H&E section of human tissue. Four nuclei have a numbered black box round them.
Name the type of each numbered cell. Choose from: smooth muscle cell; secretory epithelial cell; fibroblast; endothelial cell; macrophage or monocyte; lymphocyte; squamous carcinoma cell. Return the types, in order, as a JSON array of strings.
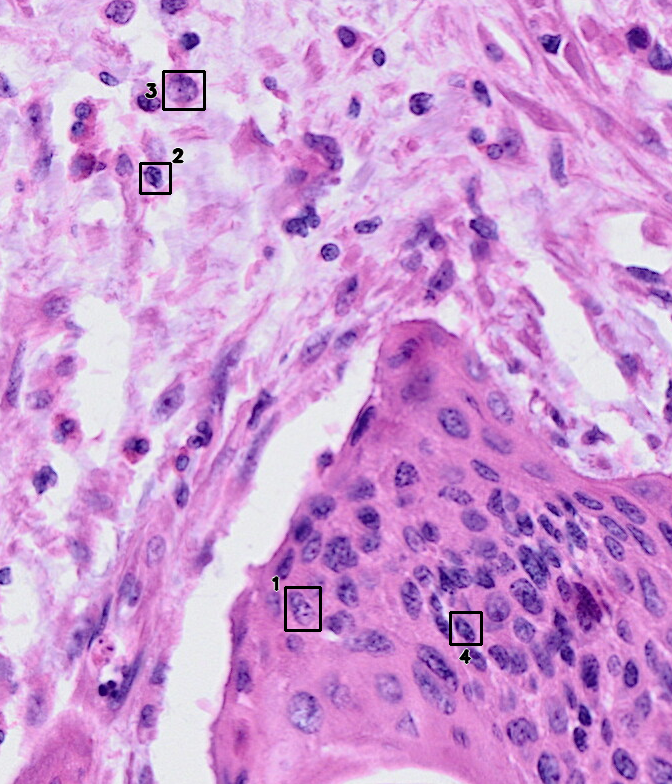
["squamous carcinoma cell", "lymphocyte", "macrophage or monocyte", "squamous carcinoma cell"]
